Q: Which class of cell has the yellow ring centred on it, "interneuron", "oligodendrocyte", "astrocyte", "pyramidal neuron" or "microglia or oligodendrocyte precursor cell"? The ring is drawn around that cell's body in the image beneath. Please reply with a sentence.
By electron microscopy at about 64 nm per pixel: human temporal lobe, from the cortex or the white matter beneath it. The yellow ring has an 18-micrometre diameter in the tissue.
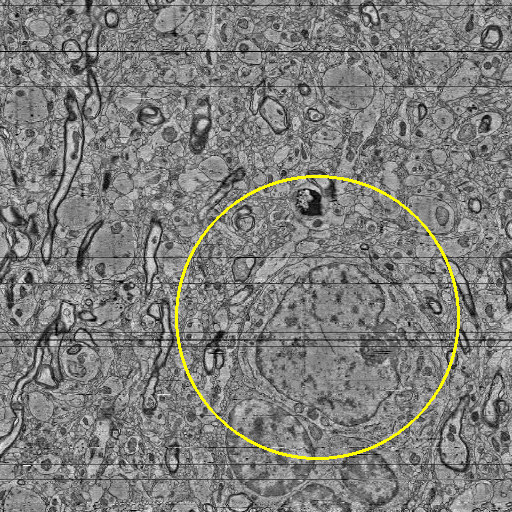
It is centred on an interneuron.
